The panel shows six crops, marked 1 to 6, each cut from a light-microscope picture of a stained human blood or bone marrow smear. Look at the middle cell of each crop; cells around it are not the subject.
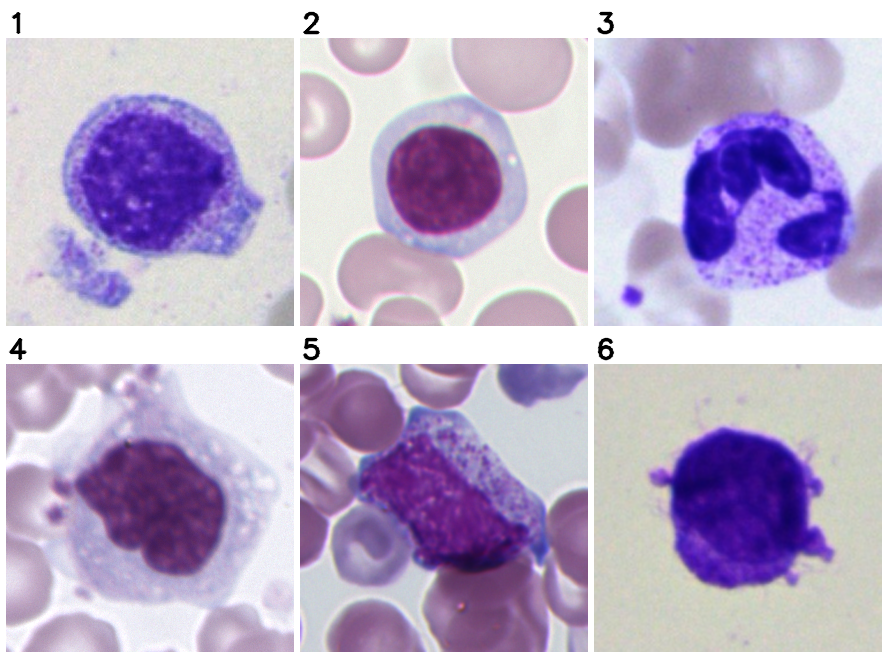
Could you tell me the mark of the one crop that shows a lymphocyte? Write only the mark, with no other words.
2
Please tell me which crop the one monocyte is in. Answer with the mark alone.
4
